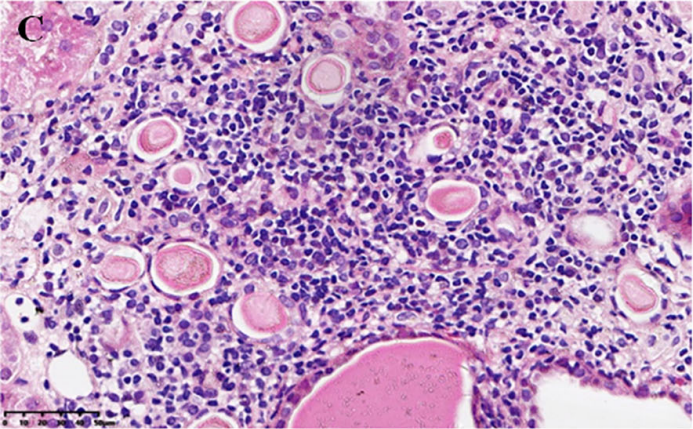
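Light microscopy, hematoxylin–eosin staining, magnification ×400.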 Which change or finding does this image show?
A: Interstitial infiltration of lymphocytes and monocytes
